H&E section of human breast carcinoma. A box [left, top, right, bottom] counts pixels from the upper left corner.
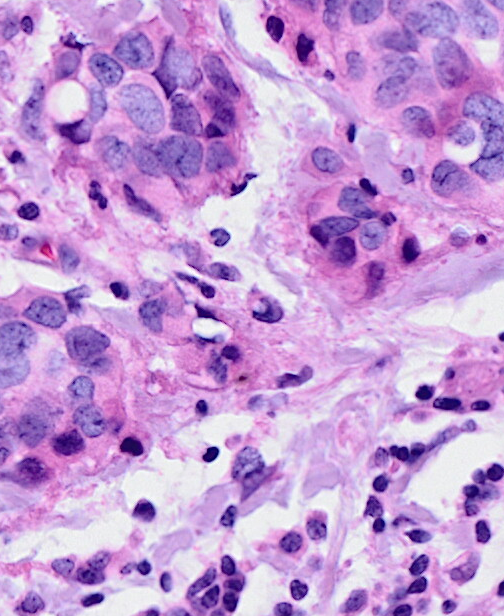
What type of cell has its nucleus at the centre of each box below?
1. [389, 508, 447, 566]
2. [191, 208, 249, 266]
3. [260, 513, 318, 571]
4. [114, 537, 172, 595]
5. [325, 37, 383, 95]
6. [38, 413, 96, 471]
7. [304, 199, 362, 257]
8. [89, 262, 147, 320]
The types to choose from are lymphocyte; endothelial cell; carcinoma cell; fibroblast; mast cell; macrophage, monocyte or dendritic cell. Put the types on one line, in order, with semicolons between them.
lymphocyte; lymphocyte; mast cell; lymphocyte; carcinoma cell; carcinoma cell; carcinoma cell; lymphocyte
